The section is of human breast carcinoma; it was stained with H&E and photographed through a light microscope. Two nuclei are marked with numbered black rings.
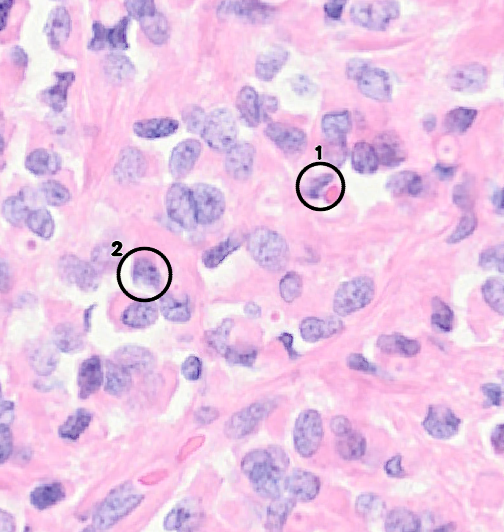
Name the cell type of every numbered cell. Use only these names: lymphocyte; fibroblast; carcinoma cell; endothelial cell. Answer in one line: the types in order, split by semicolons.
endothelial cell; carcinoma cell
